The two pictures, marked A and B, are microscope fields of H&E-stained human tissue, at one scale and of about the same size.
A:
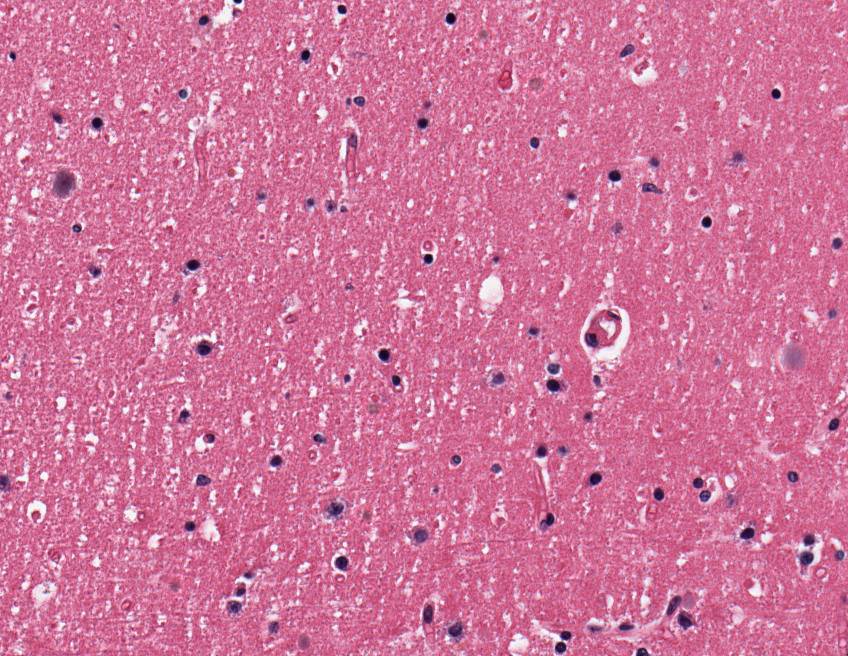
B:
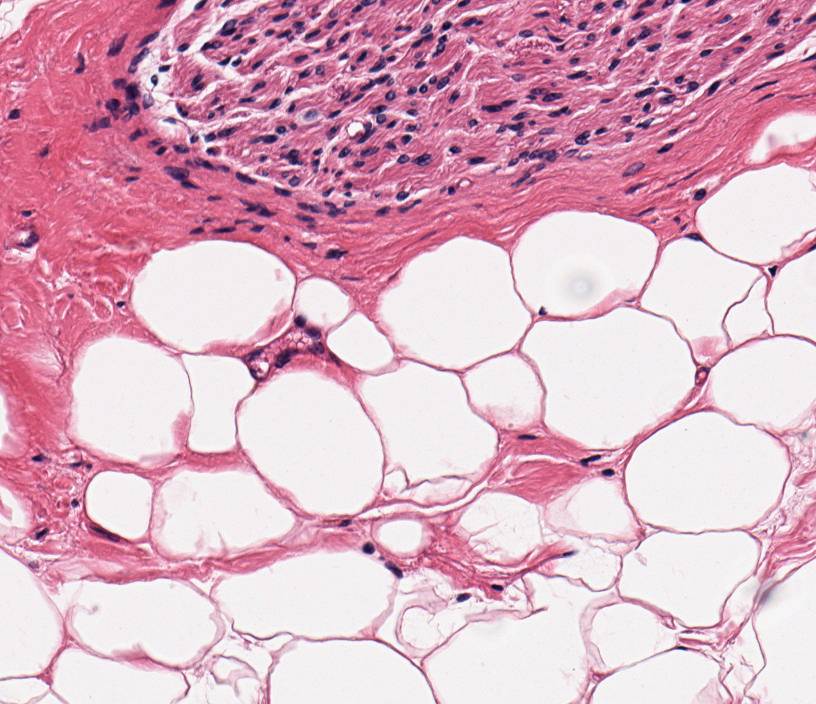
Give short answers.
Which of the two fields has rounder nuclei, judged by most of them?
A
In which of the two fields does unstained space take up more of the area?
B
